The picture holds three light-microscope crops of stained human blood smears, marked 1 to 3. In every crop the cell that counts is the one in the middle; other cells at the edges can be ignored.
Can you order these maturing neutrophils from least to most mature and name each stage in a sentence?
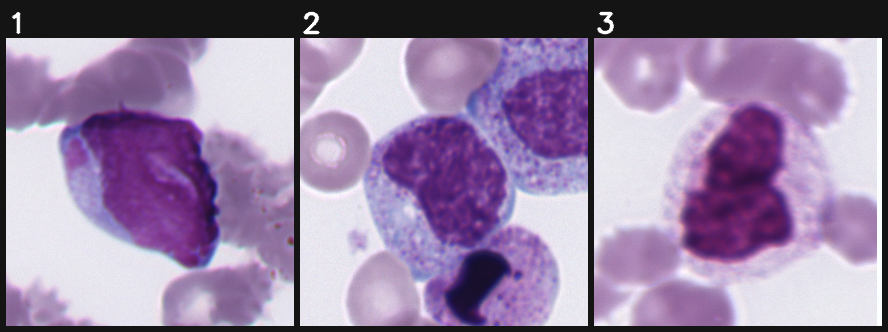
By increasing maturity, the cells should be ordered crop 1 (a blast), crop 2 (a promyelocyte) and crop 3 (a neutrophil).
